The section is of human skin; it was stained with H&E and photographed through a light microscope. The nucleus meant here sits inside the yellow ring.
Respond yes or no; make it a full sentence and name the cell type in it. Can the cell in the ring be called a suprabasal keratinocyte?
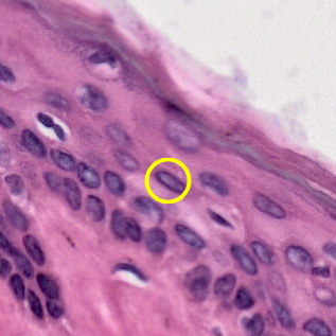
Yes, the claim that the cell in the ring is a suprabasal keratinocyte holds true.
